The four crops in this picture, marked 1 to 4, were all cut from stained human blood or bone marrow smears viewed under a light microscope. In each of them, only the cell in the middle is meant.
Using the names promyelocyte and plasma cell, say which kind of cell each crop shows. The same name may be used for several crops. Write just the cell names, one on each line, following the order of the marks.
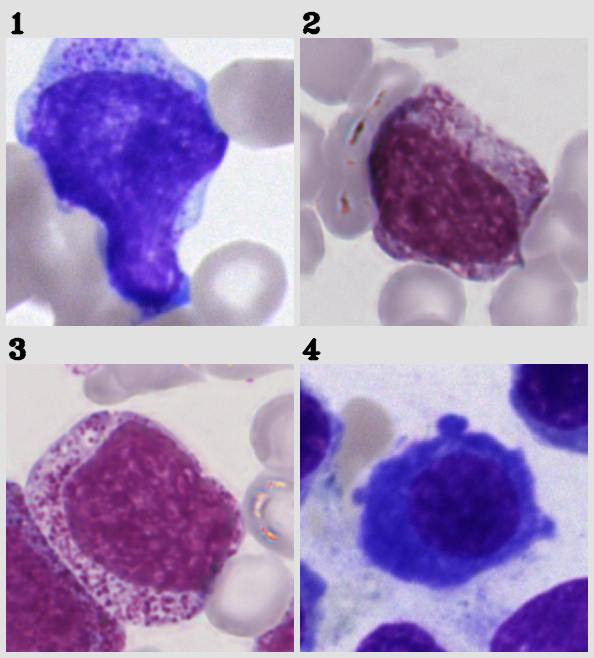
promyelocyte
promyelocyte
promyelocyte
plasma cell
